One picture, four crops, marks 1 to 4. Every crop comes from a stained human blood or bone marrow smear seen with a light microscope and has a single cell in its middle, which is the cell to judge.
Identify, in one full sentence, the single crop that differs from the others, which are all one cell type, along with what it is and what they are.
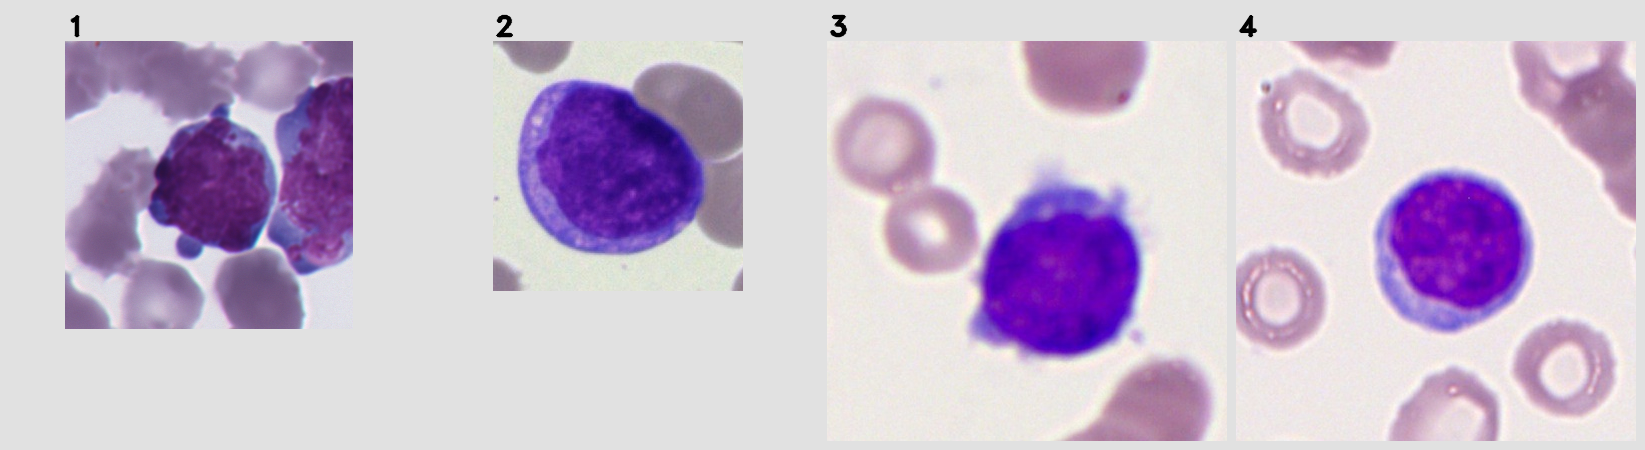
All of the other crops show blasts; crop 4, by contrast, is a lymphocyte.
